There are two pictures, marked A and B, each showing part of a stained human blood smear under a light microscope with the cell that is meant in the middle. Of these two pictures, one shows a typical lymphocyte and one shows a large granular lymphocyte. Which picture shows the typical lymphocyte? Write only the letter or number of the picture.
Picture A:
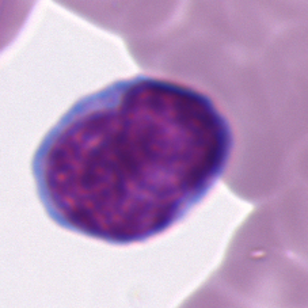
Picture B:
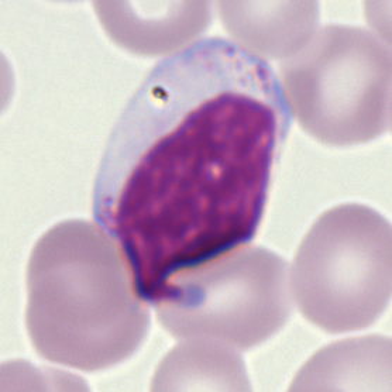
A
